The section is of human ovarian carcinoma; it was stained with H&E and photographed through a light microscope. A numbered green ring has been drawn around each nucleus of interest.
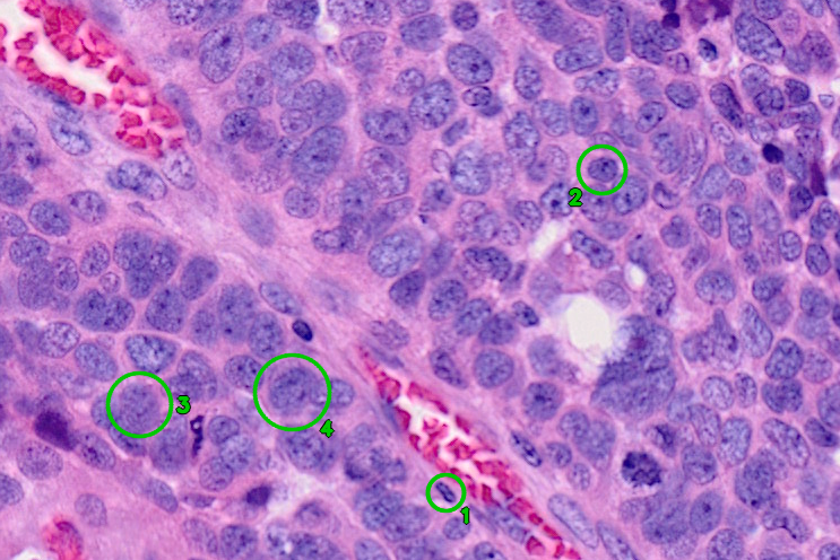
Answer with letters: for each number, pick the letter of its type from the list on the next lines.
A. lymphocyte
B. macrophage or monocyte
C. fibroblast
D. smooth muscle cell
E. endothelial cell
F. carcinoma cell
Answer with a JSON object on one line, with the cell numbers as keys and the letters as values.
{"1": "A", "2": "F", "3": "F", "4": "F"}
